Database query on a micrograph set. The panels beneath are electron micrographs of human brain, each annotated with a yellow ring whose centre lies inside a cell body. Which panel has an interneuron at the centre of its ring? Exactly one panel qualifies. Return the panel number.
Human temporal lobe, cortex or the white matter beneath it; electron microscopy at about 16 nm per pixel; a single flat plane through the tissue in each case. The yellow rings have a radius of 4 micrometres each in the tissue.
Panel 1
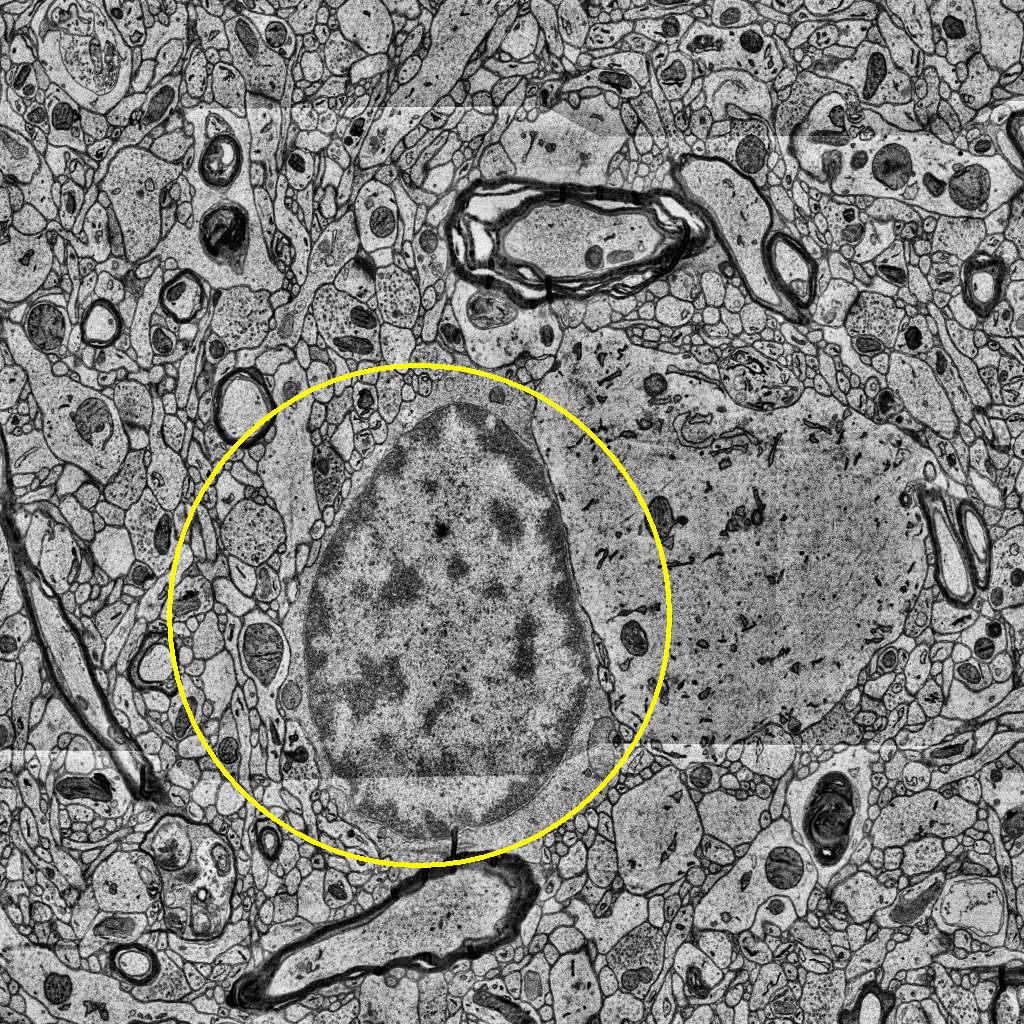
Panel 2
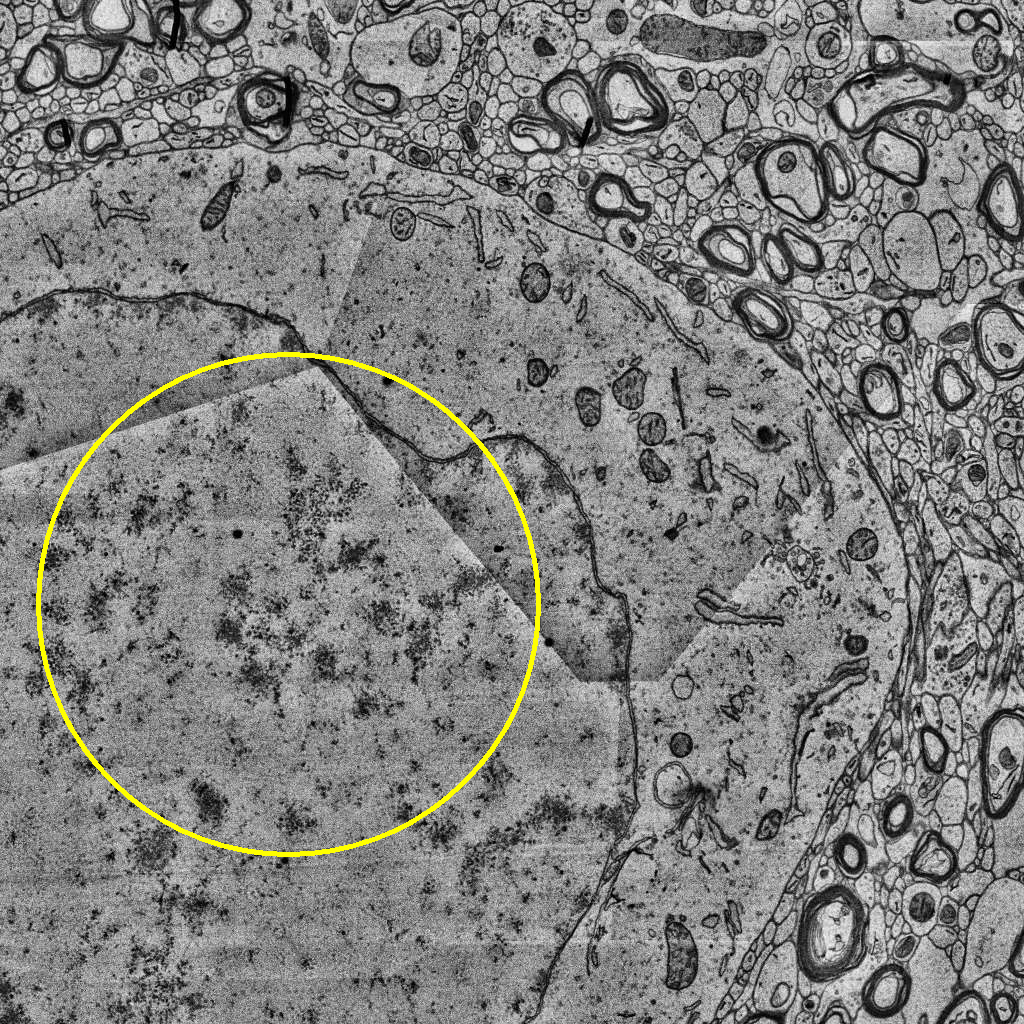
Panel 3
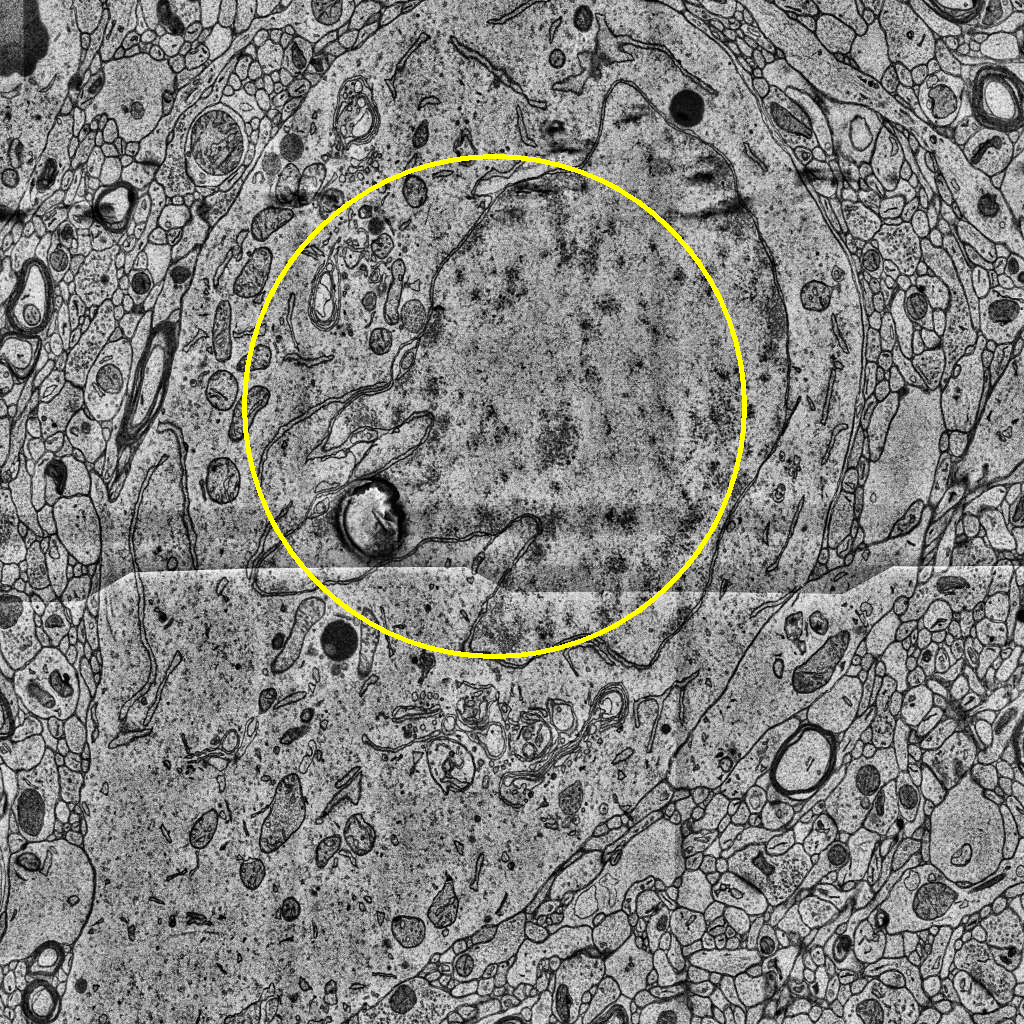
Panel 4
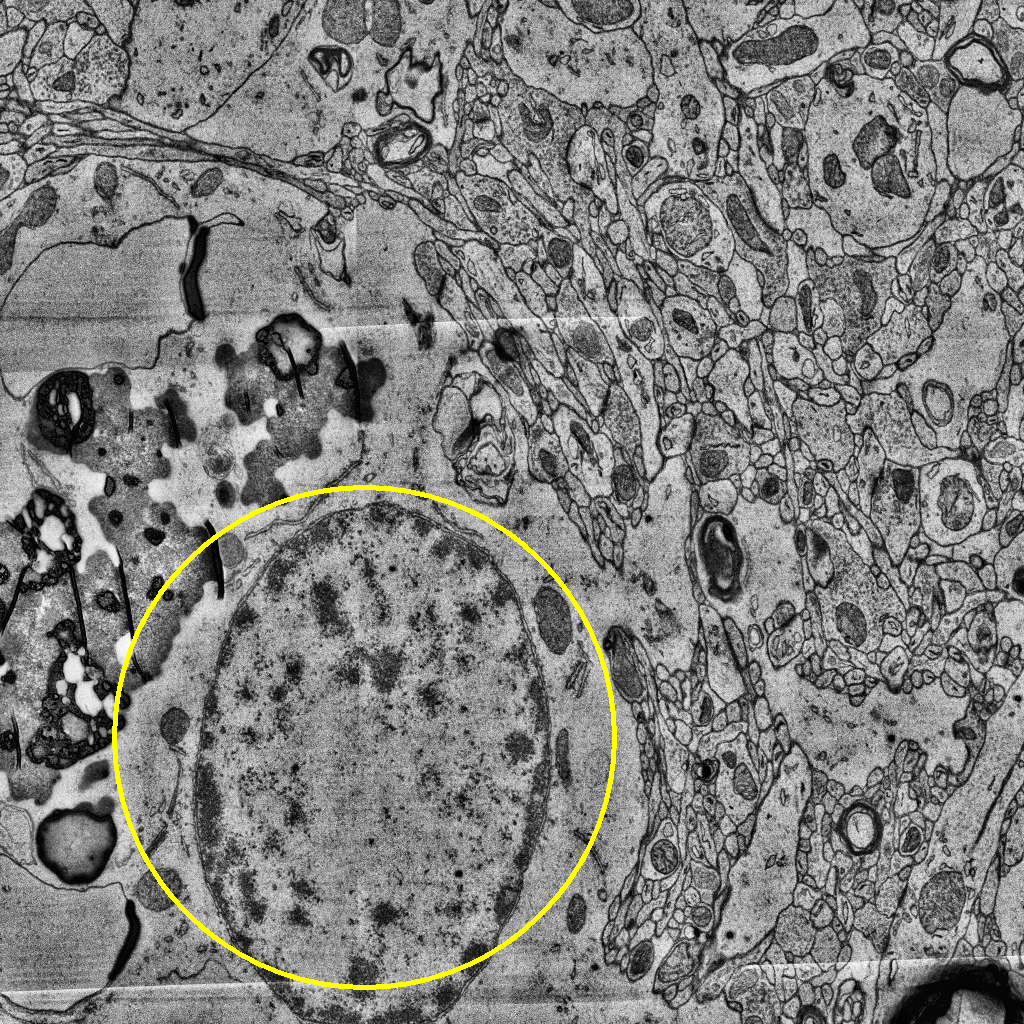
3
